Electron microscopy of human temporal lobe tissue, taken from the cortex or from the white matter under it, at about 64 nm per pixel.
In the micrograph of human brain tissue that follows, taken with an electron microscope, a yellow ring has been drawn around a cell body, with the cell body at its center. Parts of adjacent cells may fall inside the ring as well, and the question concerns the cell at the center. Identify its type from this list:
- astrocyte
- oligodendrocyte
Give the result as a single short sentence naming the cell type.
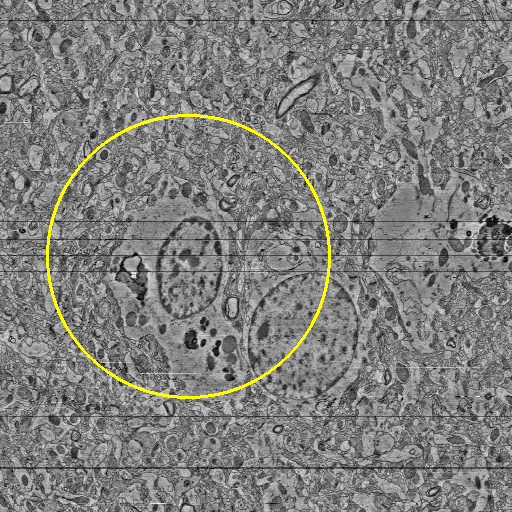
The ring is centered on an astrocyte.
